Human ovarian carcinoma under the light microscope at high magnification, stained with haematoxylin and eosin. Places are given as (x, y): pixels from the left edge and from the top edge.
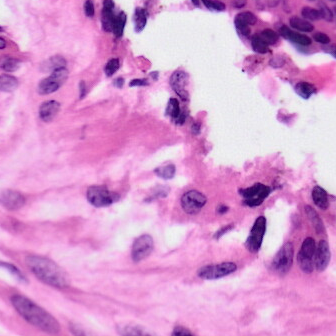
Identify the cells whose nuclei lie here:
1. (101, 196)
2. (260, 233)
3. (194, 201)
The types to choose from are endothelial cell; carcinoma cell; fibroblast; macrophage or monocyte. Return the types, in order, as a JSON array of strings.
["macrophage or monocyte", "carcinoma cell", "macrophage or monocyte"]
